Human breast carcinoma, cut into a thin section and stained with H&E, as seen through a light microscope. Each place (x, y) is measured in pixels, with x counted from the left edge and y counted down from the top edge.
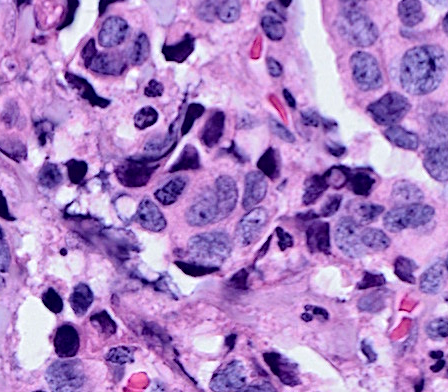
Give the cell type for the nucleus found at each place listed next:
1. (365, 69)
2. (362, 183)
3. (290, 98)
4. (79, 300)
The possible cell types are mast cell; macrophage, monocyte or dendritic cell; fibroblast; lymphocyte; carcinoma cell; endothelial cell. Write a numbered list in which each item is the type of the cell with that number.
1. carcinoma cell
2. carcinoma cell
3. endothelial cell
4. carcinoma cell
